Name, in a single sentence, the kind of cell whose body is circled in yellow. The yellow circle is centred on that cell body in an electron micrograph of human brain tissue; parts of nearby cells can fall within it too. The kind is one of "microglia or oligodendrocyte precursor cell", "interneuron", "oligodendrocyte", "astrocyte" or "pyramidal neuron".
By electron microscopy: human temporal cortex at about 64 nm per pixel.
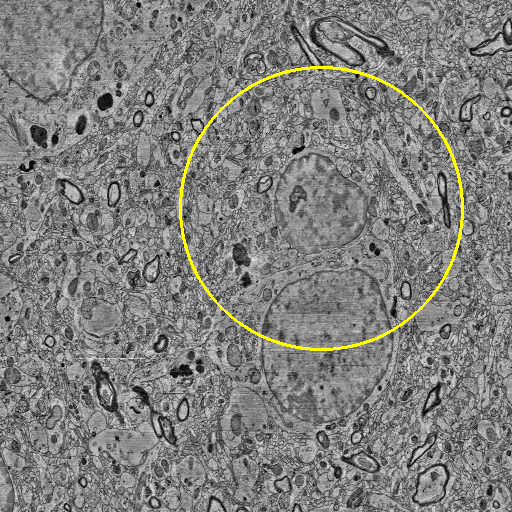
The circled cell body belongs to an oligodendrocyte.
